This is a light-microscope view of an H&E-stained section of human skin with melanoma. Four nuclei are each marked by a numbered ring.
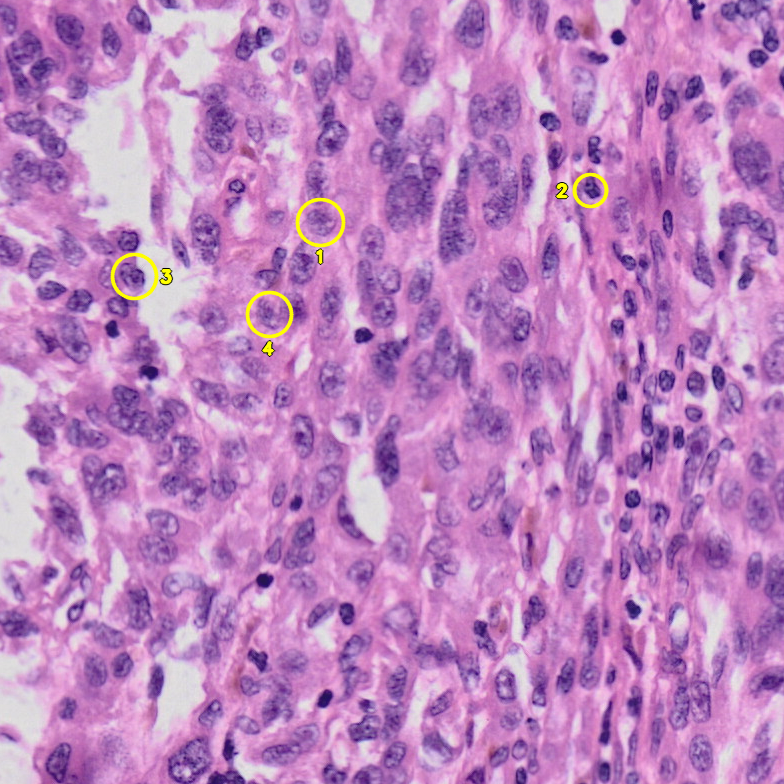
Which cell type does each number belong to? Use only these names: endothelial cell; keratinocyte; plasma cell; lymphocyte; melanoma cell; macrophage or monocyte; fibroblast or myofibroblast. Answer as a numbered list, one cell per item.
1. melanoma cell
2. lymphocyte
3. melanoma cell
4. melanoma cell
